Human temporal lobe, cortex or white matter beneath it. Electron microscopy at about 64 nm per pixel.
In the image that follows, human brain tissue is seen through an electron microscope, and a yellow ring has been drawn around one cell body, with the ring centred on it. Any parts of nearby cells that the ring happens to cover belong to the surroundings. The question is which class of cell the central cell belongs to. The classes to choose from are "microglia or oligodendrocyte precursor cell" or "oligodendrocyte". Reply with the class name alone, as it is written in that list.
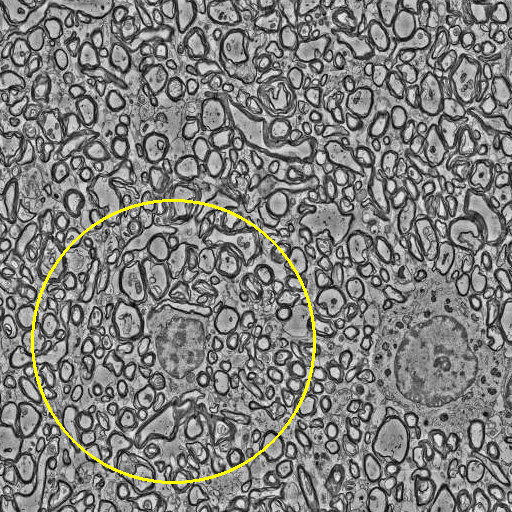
microglia or oligodendrocyte precursor cell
